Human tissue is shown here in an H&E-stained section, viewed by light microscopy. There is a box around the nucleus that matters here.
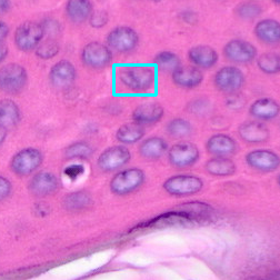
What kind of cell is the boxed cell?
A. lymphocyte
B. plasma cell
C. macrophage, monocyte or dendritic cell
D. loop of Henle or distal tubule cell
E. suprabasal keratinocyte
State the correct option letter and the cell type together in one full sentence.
As stated in option E, the boxed cell is a suprabasal keratinocyte.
